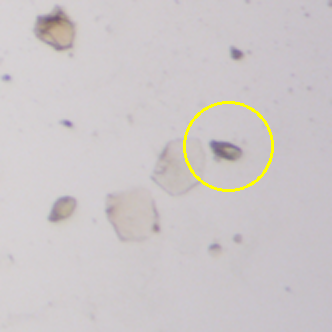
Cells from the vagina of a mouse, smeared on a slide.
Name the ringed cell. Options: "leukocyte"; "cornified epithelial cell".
cornified epithelial cell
